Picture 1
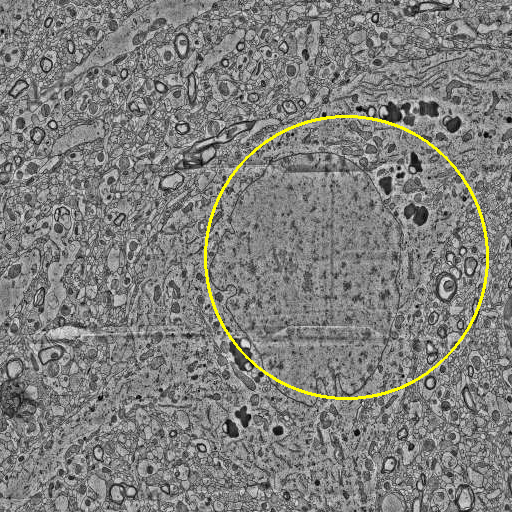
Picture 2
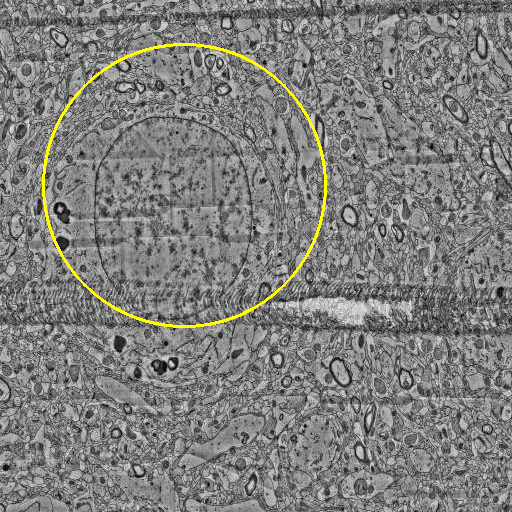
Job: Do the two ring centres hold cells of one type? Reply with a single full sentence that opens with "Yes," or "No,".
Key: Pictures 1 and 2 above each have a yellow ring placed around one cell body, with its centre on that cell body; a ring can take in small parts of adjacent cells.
Yes, the cells at the two ring centres are of one single type.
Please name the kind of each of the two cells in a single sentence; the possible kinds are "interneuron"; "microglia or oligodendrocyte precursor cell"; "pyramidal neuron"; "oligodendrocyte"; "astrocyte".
Each of the two rings is centred on a pyramidal neuron.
